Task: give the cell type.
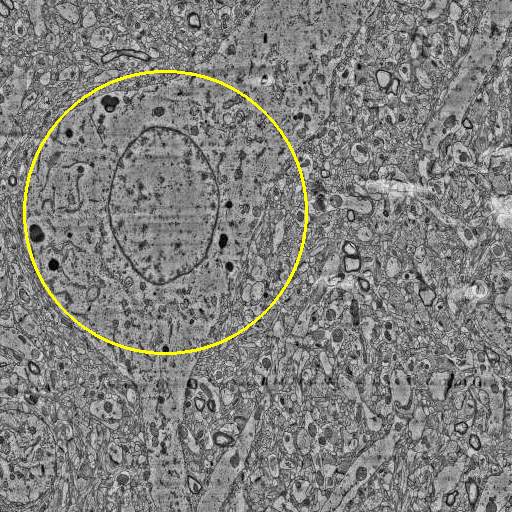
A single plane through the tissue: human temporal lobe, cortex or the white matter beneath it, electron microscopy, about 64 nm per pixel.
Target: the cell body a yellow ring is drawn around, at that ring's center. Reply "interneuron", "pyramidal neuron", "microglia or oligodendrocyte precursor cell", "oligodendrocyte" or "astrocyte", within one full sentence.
In this picture, the cell whose body lies at the ring's center is a pyramidal neuron.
